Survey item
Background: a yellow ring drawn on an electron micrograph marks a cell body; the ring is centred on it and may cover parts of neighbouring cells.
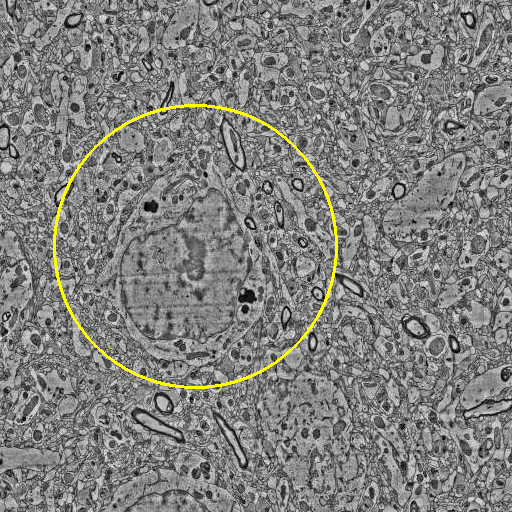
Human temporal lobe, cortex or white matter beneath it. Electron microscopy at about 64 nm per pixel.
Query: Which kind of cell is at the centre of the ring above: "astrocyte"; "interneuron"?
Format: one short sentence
The cell in the middle of the ring is an interneuron.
